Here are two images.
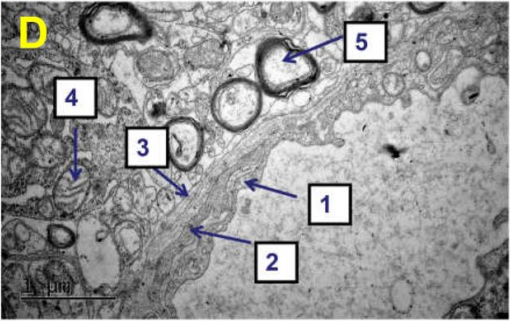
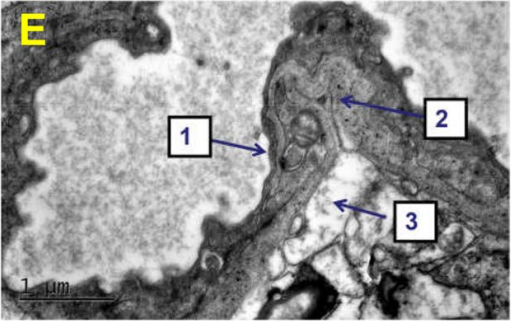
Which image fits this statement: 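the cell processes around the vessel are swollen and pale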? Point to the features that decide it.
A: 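First image: the thin layers around the vessel lumen are compact and closely apposed. Second image: a large electron-lucent pale space lies beside the vessel wall, and the wall outline is irregular. The answer: the second image.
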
